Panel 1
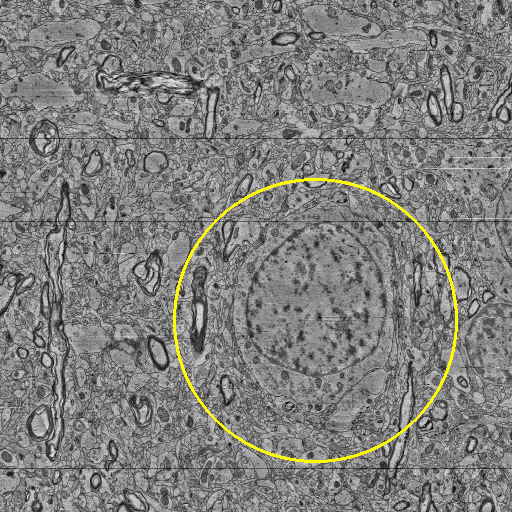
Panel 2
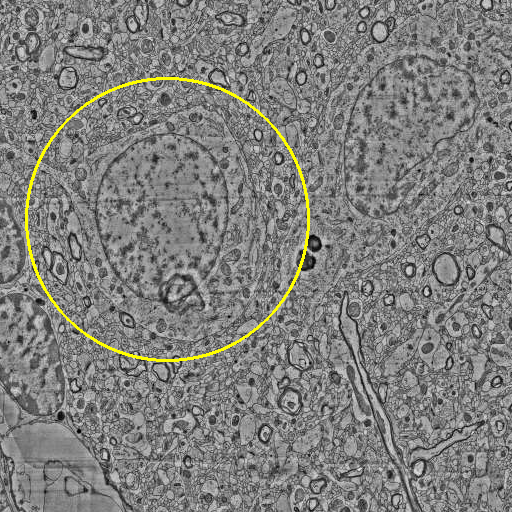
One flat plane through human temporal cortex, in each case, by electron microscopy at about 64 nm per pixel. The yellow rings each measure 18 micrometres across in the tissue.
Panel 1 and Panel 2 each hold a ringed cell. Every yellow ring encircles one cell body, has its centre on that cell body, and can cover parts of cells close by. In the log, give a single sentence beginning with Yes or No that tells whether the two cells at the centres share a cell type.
Yes, in Panel 1 and Panel 2 the centred cells share a cell type.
